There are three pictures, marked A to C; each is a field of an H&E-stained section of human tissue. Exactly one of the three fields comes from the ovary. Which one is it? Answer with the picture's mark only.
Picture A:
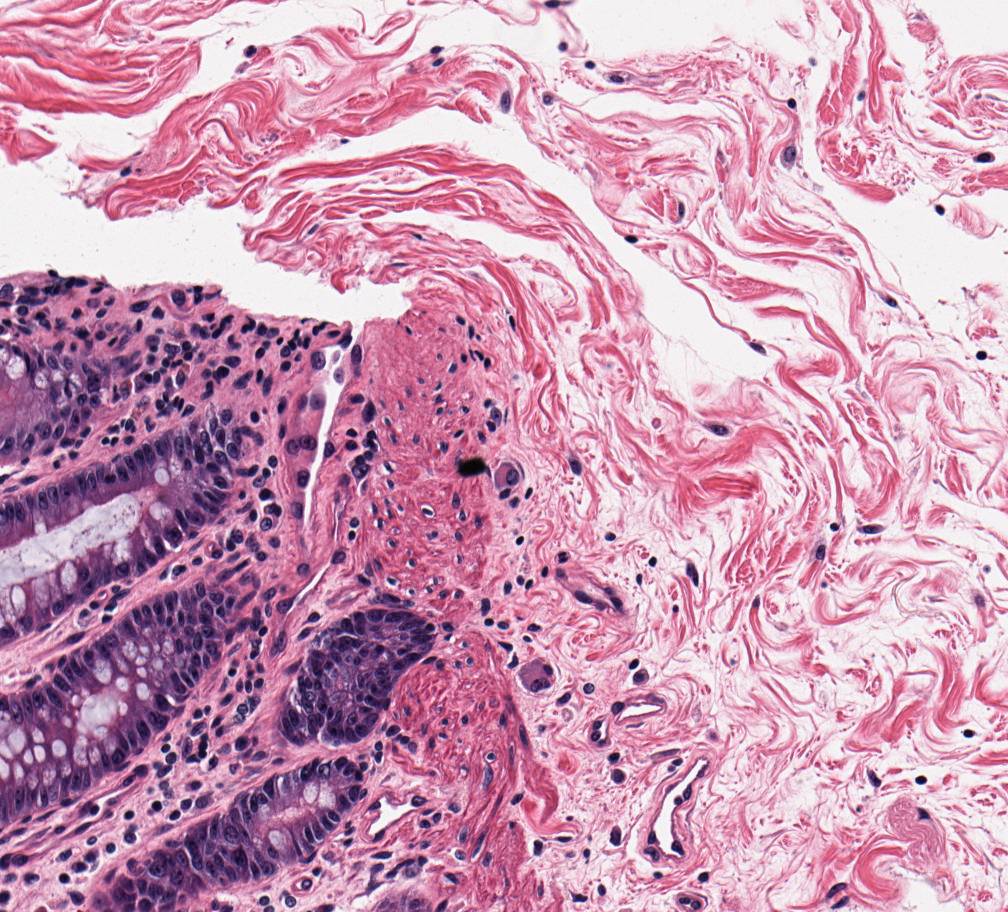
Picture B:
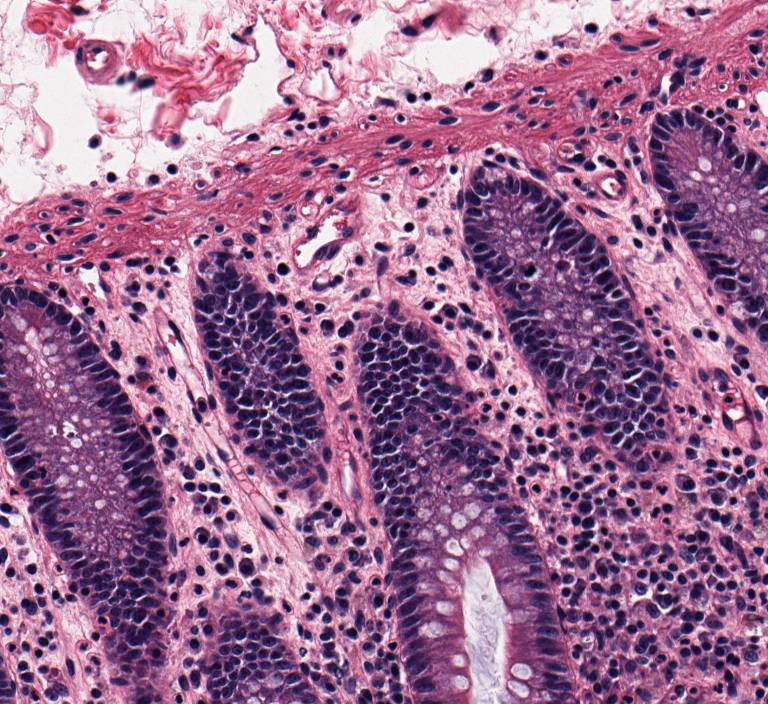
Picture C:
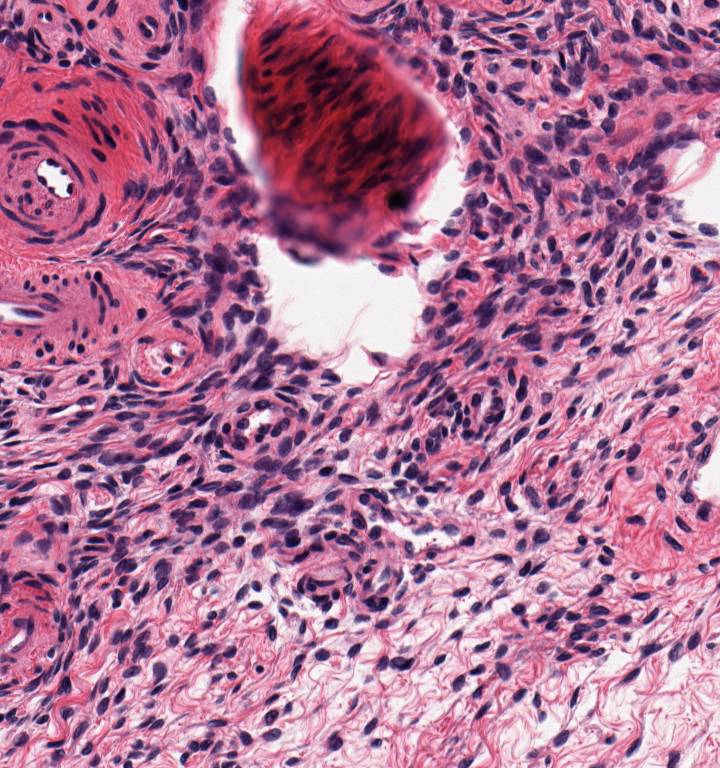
C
